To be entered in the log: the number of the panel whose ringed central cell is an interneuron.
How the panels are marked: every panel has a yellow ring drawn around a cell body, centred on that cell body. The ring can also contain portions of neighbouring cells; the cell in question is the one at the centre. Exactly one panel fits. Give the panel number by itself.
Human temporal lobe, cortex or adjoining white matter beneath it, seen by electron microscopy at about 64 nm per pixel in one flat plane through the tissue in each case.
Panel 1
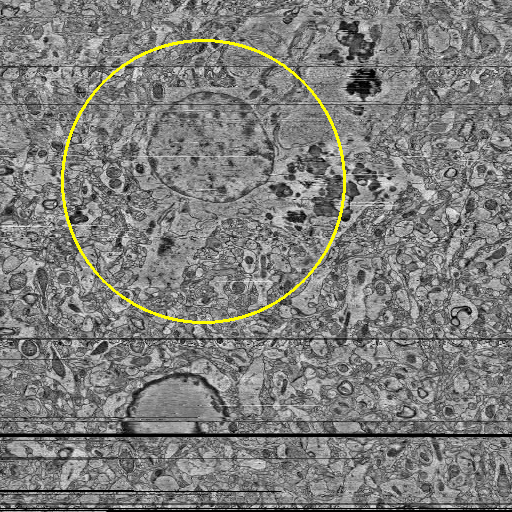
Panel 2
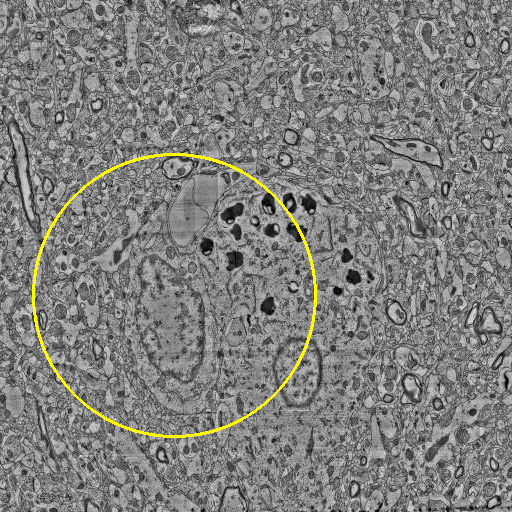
2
